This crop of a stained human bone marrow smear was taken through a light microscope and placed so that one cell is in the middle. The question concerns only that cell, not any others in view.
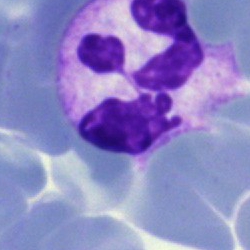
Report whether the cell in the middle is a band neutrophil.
no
